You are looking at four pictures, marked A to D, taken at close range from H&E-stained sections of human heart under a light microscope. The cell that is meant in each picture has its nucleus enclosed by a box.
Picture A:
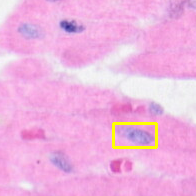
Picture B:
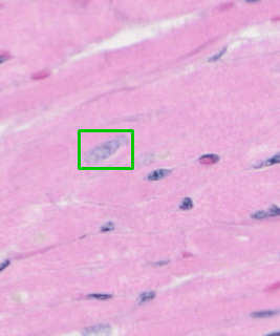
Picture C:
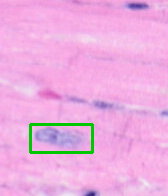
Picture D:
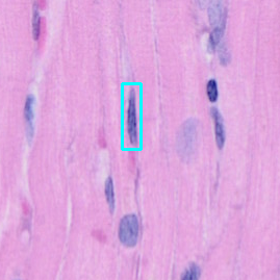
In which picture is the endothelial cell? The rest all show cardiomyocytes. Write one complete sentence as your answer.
The endothelial cell is the one in picture D.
